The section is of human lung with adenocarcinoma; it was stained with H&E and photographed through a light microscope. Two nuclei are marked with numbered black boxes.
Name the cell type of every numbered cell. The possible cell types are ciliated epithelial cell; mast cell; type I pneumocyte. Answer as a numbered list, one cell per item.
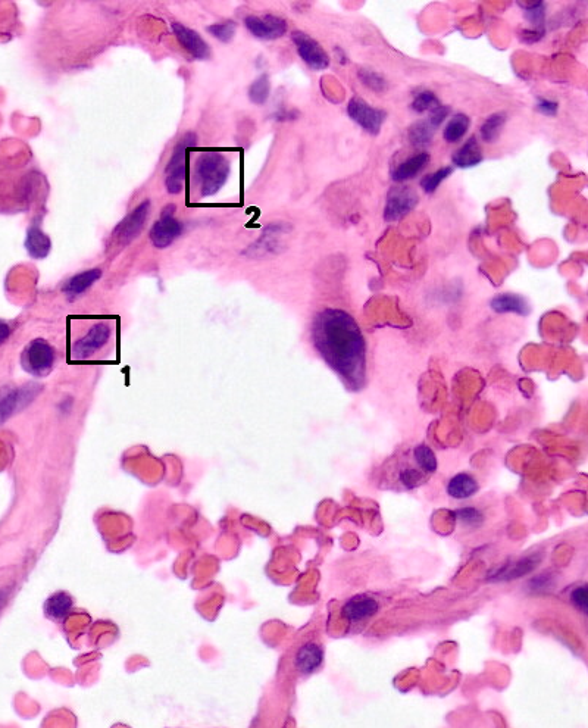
1. mast cell
2. type I pneumocyte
